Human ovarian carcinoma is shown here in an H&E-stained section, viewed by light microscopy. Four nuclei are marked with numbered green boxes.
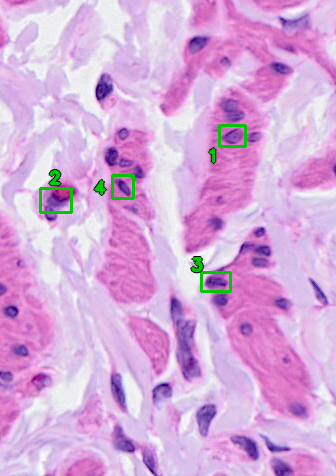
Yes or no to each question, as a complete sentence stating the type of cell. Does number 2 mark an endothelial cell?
Yes, cell number 2 is identified here as an endothelial cell.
